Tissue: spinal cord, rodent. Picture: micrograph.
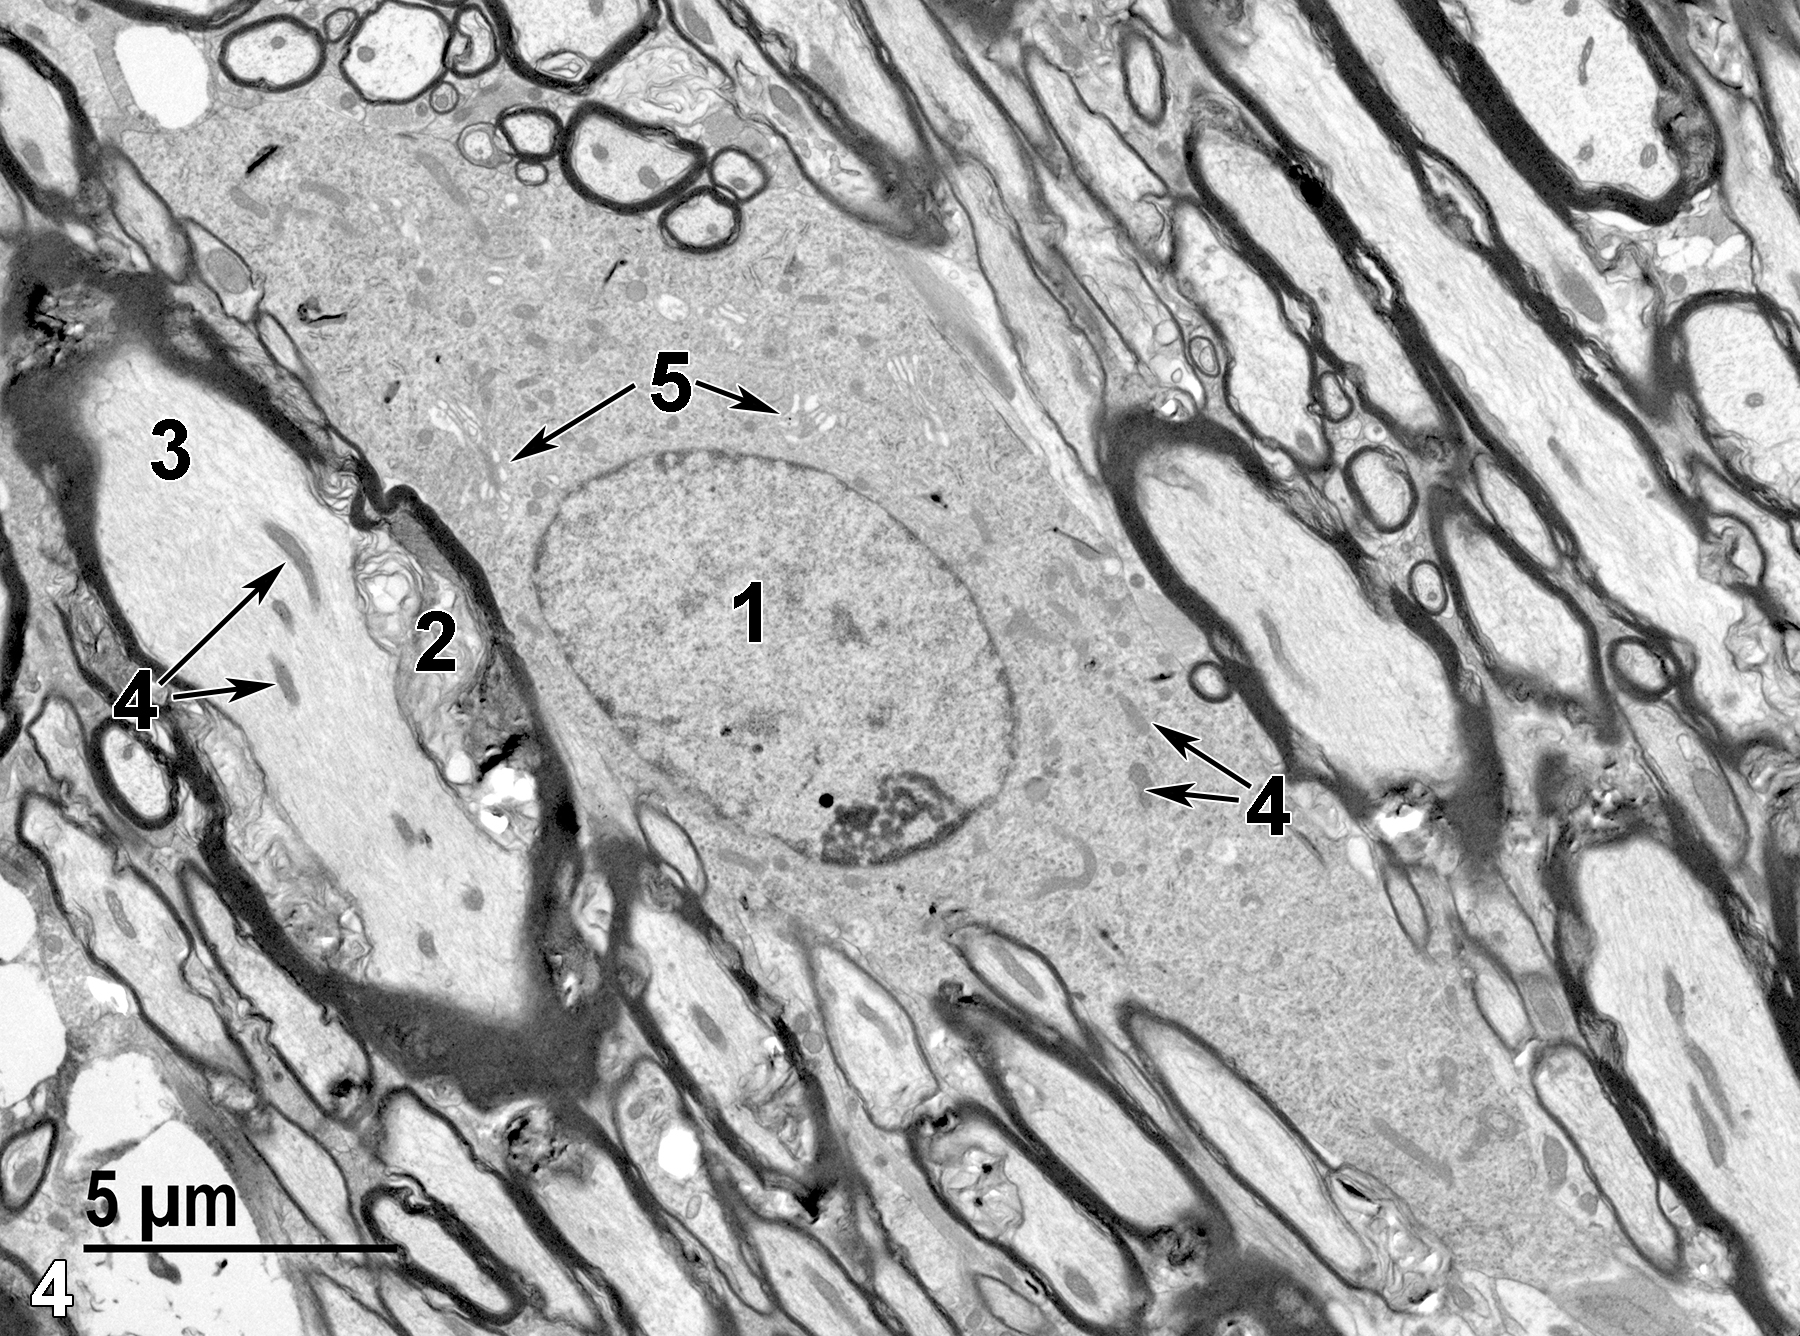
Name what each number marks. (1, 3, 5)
1 - nucleus
3 - myelinated axon
5 - Golgi bodies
